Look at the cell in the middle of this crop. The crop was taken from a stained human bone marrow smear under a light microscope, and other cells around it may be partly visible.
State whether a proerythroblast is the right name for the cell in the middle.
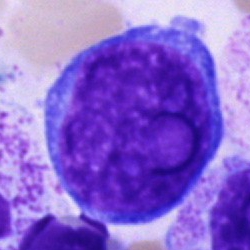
yes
